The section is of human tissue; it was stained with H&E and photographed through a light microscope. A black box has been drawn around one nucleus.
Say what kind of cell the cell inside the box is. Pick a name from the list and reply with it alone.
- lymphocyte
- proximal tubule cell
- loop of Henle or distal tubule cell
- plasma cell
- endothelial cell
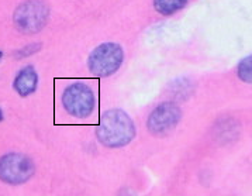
loop of Henle or distal tubule cell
